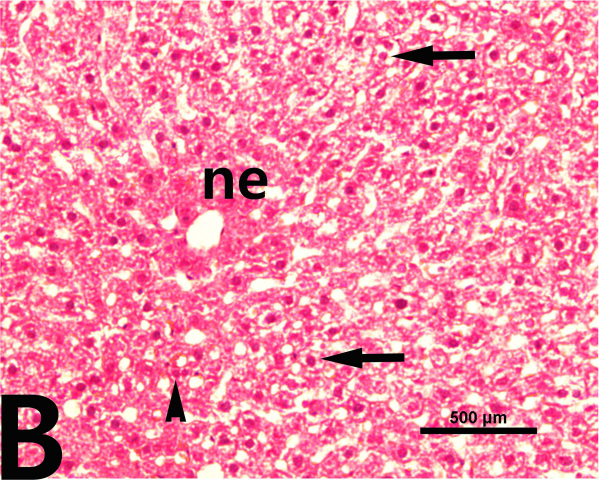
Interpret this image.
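This is liver parenchyma around a central vein, where the hepatocytes look markedly altered. Next to the vein the tissue is dense and deeply pink, with the cord pattern largely lost.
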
